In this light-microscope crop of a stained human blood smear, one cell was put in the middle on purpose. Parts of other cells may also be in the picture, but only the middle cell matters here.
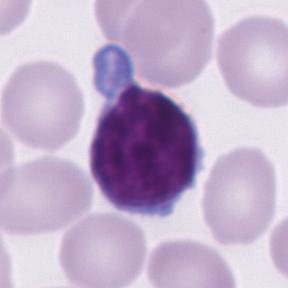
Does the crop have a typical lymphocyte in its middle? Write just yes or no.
yes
